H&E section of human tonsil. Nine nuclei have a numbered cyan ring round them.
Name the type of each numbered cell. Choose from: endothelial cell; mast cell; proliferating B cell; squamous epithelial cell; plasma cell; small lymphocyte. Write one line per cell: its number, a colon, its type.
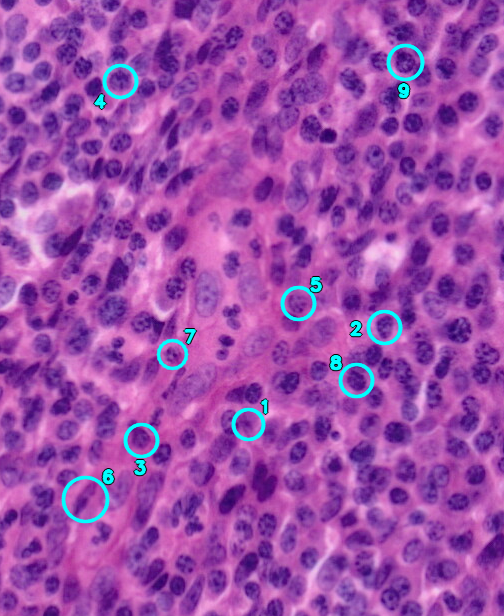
1: squamous epithelial cell
2: plasma cell
3: squamous epithelial cell
4: plasma cell
5: plasma cell
6: squamous epithelial cell
7: squamous epithelial cell
8: plasma cell
9: plasma cell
